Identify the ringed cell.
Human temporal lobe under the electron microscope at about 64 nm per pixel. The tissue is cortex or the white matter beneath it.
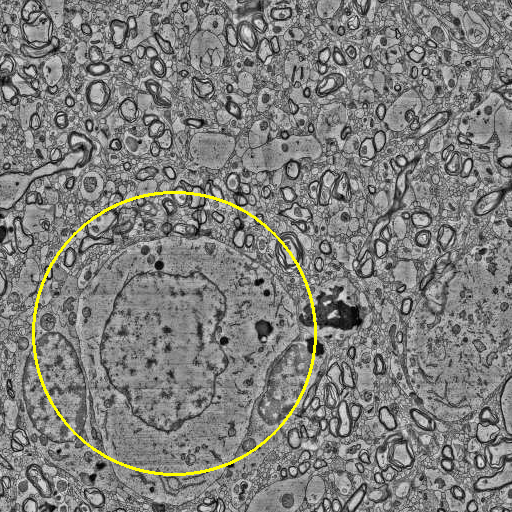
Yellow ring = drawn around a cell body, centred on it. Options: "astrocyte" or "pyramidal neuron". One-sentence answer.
What the ring is centred on is a pyramidal neuron.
